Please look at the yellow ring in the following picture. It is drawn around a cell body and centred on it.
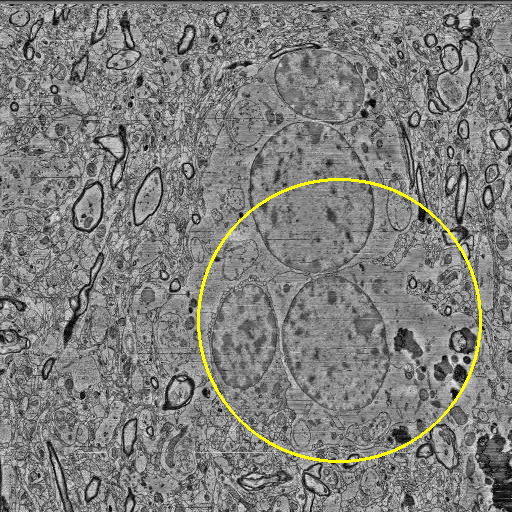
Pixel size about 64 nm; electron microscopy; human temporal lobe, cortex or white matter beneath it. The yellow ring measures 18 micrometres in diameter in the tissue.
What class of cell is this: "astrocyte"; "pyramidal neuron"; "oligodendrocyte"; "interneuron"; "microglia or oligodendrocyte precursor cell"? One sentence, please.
The ring surrounds the cell body of an astrocyte.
